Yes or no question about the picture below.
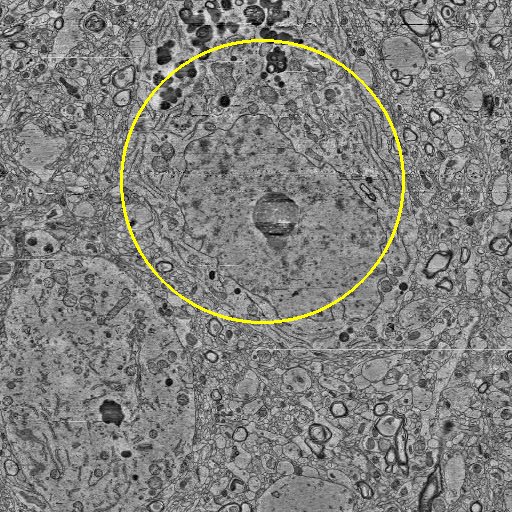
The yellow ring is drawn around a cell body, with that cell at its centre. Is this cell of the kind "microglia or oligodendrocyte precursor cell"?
no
